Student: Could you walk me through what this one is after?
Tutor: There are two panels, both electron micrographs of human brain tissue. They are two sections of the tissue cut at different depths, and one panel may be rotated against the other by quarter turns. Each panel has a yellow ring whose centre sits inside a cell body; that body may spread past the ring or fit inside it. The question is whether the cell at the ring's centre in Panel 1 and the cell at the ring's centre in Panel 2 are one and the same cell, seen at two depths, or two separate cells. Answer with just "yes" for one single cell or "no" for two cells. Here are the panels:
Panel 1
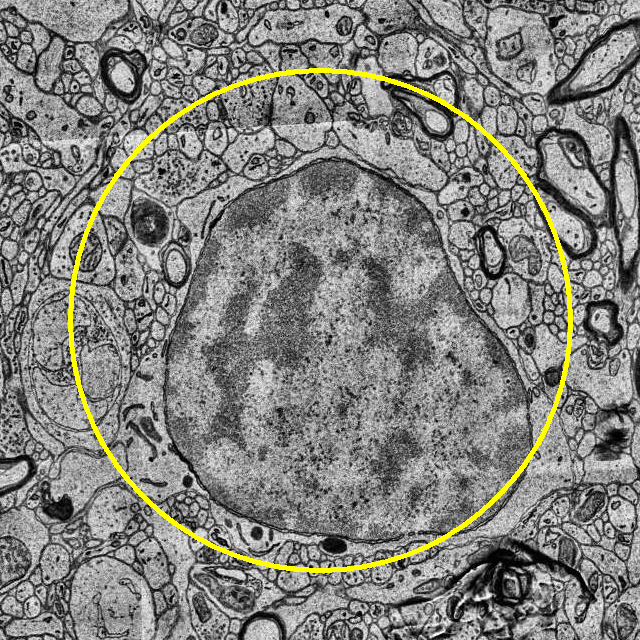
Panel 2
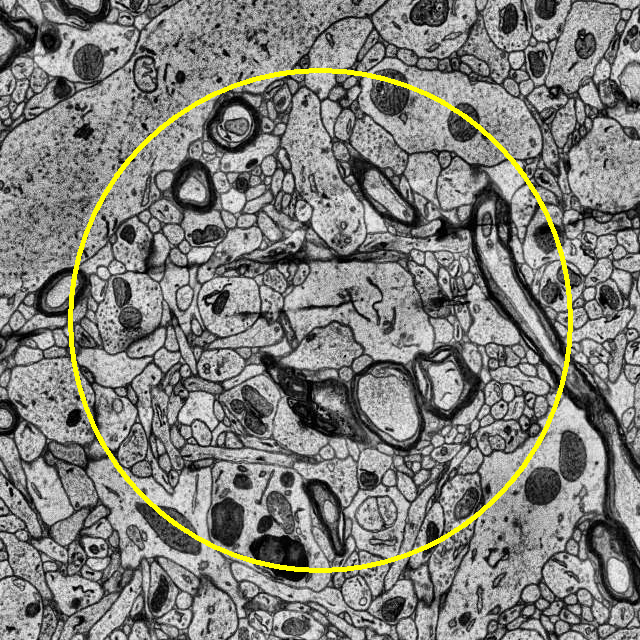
no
